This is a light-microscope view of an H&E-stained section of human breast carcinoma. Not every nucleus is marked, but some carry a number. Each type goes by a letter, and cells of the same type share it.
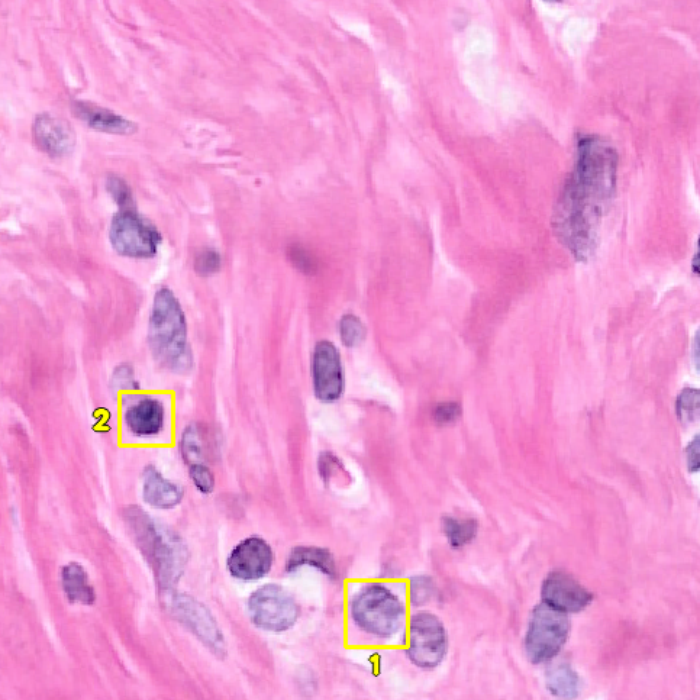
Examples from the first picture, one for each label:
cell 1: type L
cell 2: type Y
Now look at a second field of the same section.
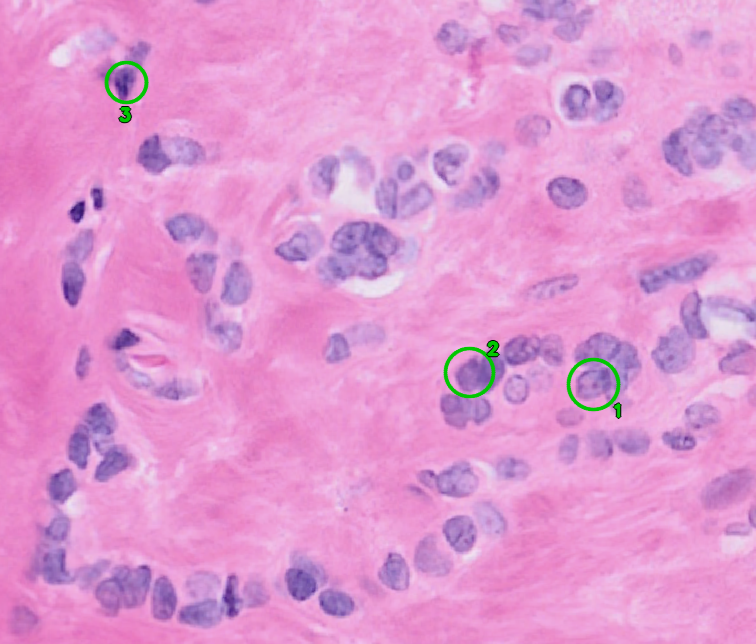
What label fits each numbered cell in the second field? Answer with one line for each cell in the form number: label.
1: type L
2: type L
3: type Y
